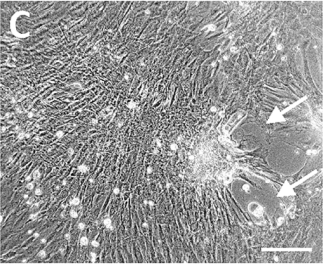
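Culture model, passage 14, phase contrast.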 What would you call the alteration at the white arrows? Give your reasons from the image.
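Retraction in local areas. The arrows point to smooth, cell-poor areas at the edge of the dense cell sheet. The dense layer appears pulled back from these areas.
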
